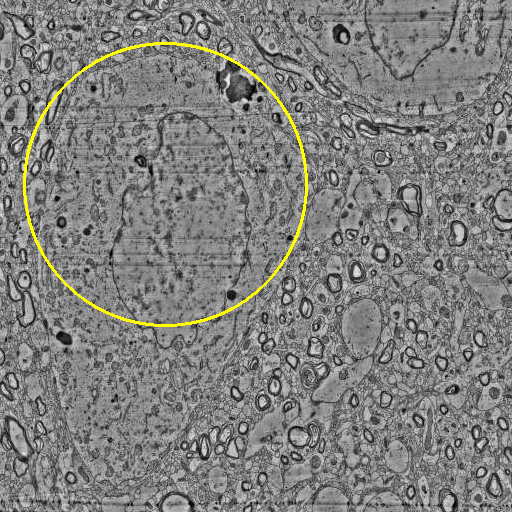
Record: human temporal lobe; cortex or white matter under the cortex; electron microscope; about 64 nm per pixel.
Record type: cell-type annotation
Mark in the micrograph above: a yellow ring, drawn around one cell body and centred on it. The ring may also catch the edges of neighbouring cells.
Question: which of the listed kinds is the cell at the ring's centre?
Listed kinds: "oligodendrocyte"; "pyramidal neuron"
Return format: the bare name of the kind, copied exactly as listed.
pyramidal neuron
